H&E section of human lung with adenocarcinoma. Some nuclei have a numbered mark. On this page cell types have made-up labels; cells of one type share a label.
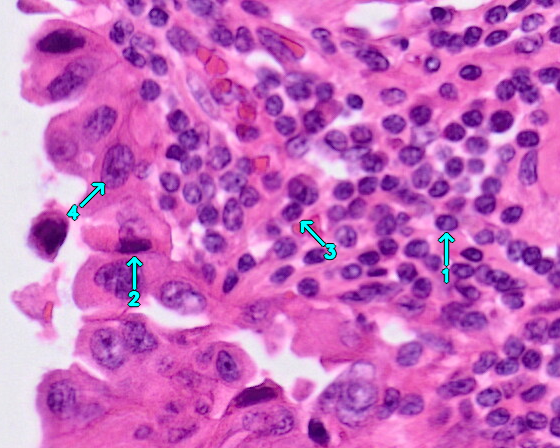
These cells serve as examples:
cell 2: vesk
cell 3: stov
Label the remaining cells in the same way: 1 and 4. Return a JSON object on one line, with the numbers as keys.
{"1": "stov", "4": "vesk"}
